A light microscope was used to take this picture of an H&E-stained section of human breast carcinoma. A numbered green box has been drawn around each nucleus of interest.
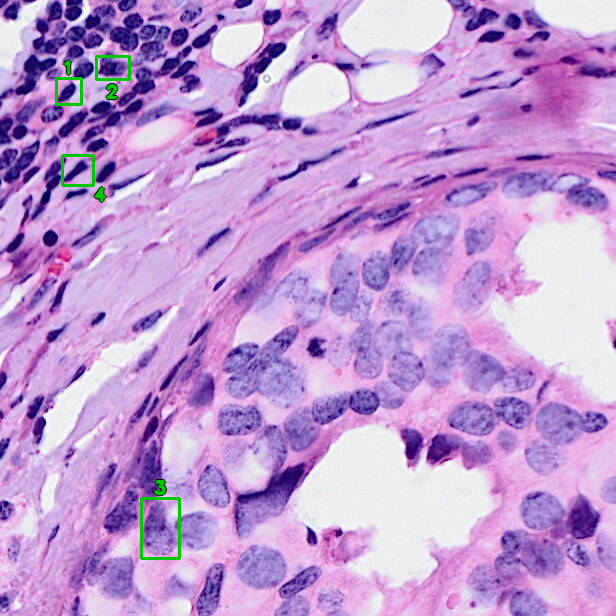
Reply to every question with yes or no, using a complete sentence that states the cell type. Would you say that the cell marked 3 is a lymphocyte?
No, cell 3 is not a lymphocyte at all but a carcinoma cell.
